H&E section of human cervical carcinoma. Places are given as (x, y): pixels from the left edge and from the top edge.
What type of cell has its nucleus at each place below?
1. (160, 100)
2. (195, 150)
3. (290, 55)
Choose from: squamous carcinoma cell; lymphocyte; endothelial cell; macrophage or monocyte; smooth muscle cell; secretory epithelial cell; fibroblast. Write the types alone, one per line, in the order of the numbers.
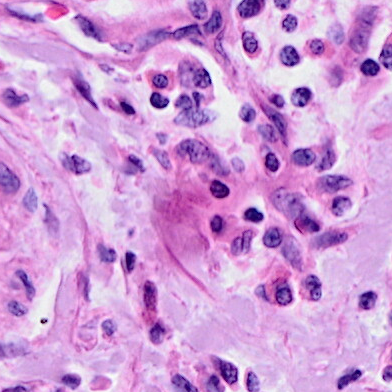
lymphocyte
macrophage or monocyte
lymphocyte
